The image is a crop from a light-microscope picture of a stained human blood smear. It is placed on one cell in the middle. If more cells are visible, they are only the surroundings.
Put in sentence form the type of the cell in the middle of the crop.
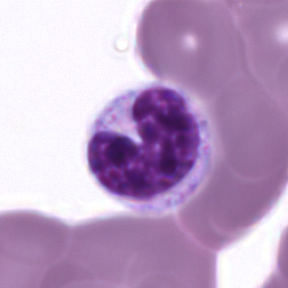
The cell centered in this field of view is a band neutrophil.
